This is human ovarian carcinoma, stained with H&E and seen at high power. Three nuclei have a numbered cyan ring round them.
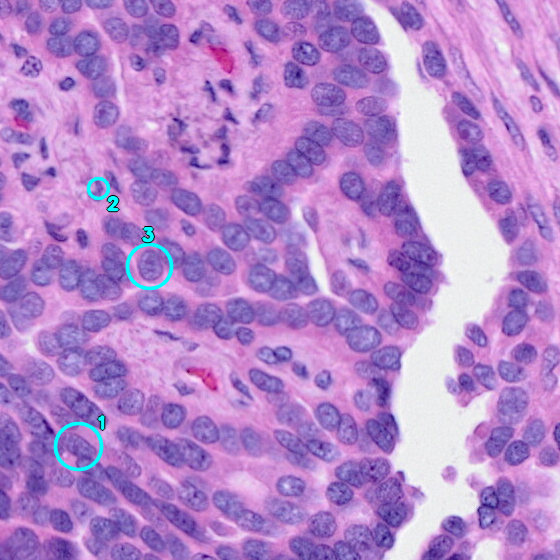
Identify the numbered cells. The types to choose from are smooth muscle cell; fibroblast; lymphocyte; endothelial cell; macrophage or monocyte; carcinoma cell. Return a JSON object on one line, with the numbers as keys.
{"1": "carcinoma cell", "2": "fibroblast", "3": "carcinoma cell"}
